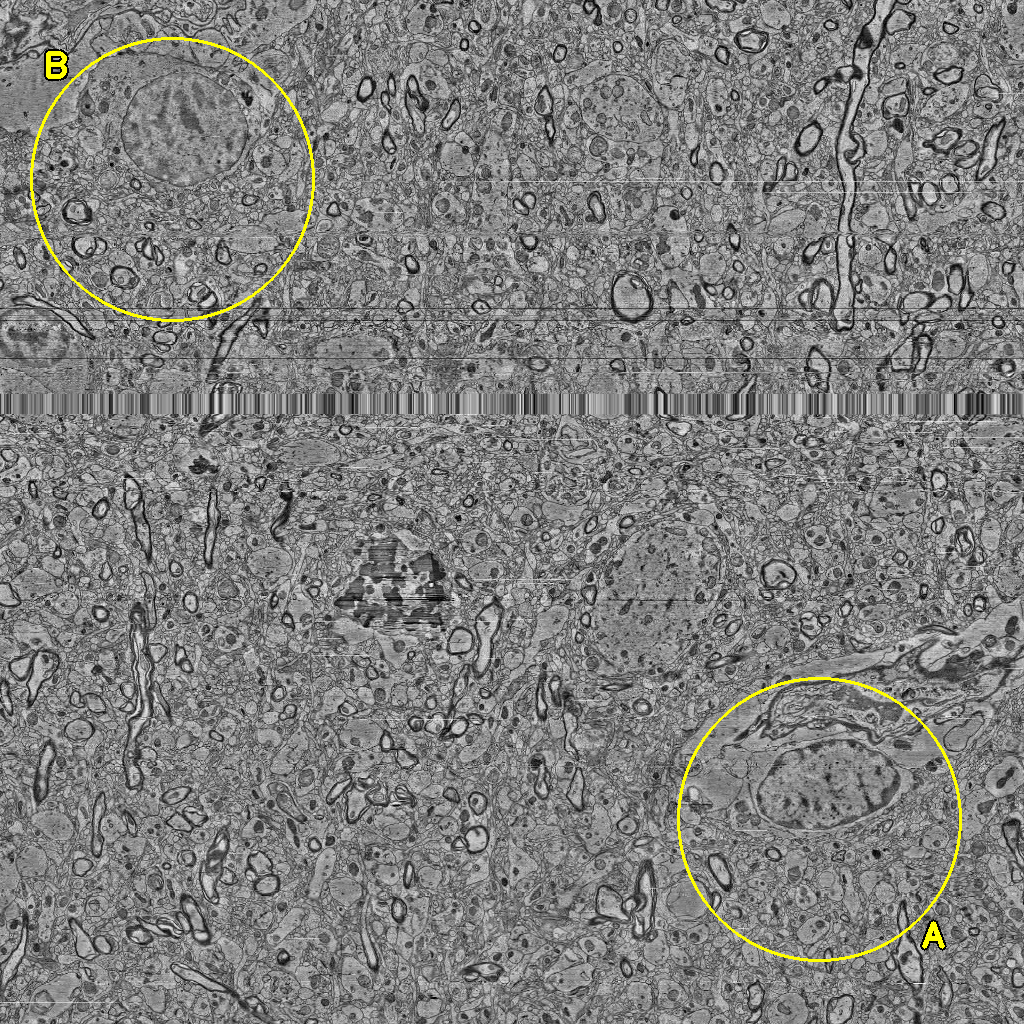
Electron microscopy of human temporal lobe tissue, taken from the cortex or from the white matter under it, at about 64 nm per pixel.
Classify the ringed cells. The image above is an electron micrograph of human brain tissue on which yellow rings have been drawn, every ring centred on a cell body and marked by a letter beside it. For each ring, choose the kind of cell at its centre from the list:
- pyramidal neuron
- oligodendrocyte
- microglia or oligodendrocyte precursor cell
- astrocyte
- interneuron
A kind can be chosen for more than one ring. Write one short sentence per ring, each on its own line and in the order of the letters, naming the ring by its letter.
Ring A is placed around a microglial cell or oligodendrocyte precursor cell.
Ring B is placed around an oligodendrocyte.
